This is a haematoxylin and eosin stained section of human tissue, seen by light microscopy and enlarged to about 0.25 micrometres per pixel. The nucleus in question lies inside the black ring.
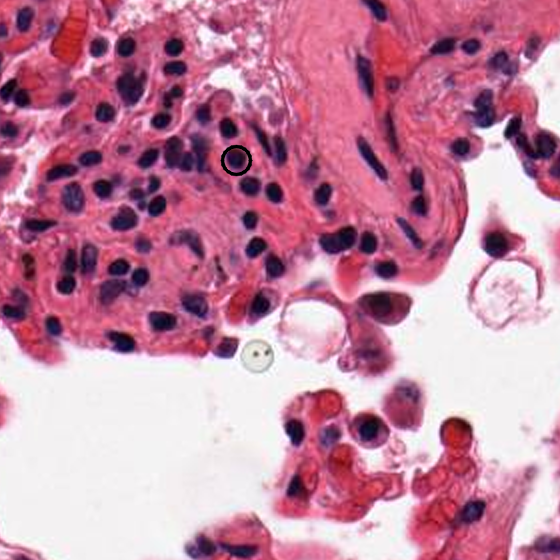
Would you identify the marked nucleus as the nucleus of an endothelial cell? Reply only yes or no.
no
